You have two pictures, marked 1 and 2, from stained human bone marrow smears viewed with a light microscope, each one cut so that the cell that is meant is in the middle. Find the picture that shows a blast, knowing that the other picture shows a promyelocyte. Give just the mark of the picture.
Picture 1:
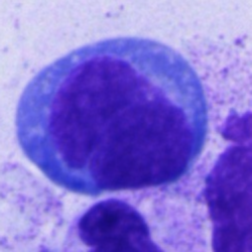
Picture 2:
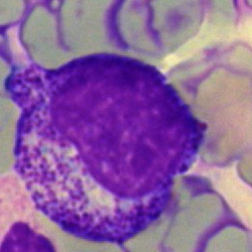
1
